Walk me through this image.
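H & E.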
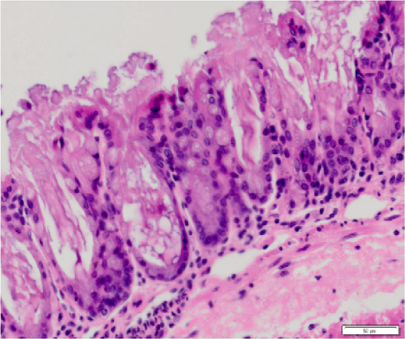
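This section of colonic mucosa shows damaged crypts. Instead of straight parallel tubes, the crypts are irregular in shape and spacing, and several appear widened, with pale, disorganised contents in their lumens. The surface epithelium is ragged and frayed rather than forming a smooth continuous border. Epithelial cells with dark purple nuclei still line parts of the crypts, and the lamina propria between them contains scattered dark nuclei. Pink connective tissue and muscle lie at the bottom right of the field. The overall architecture contrasts with the orderly arrangement of healthy colonic mucosa.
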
